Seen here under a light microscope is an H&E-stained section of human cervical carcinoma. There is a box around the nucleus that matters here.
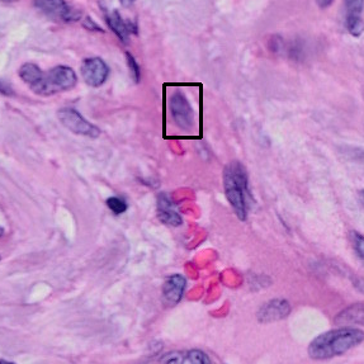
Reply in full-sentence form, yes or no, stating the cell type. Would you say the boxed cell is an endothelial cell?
Yes, the boxed cell is categorized as an endothelial cell in this section.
